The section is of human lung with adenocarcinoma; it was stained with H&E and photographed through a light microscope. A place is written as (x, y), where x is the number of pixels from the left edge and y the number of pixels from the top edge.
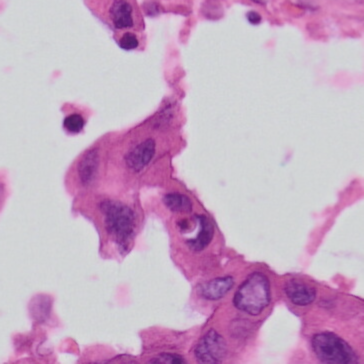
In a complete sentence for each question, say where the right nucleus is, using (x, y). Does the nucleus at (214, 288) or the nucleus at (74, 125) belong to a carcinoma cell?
The nucleus of a carcinoma cell is the one at (214, 288).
